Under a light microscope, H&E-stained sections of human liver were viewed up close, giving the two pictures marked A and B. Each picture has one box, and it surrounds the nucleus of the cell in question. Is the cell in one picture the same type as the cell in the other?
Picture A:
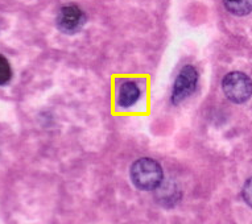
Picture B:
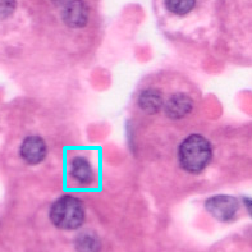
yes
